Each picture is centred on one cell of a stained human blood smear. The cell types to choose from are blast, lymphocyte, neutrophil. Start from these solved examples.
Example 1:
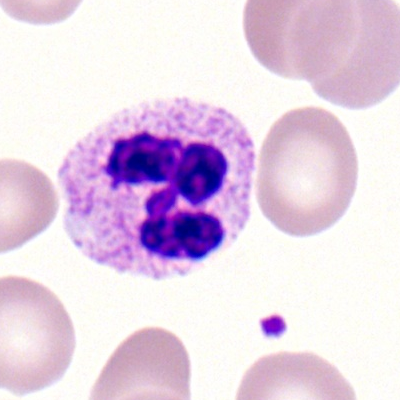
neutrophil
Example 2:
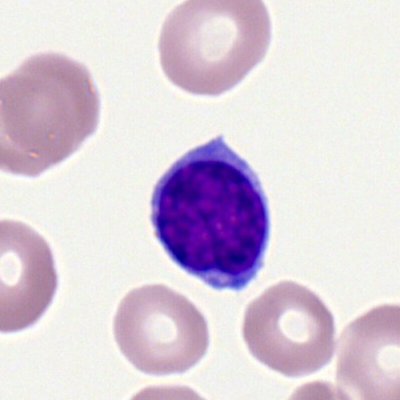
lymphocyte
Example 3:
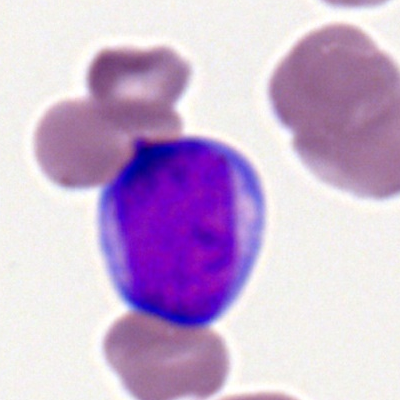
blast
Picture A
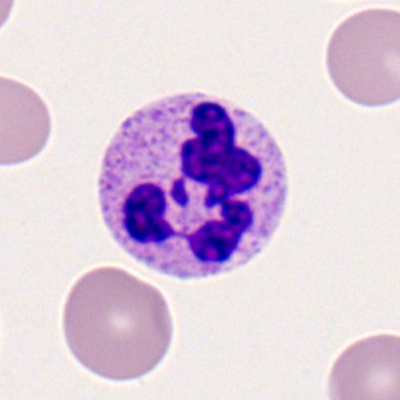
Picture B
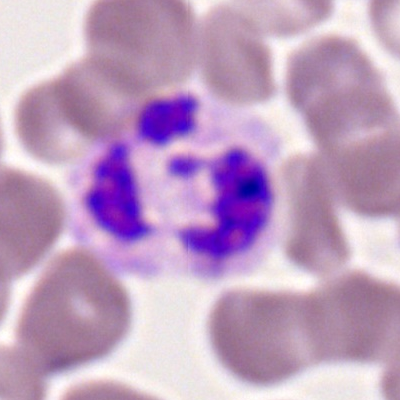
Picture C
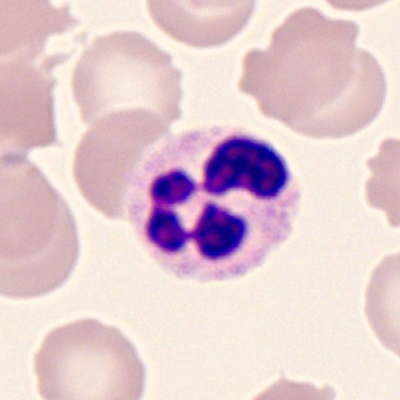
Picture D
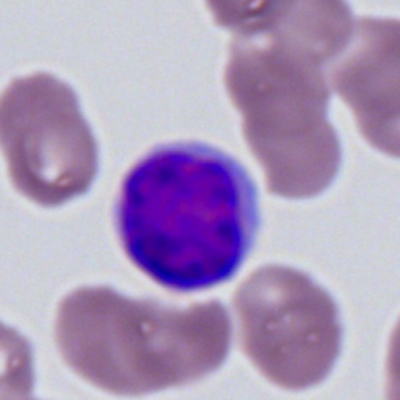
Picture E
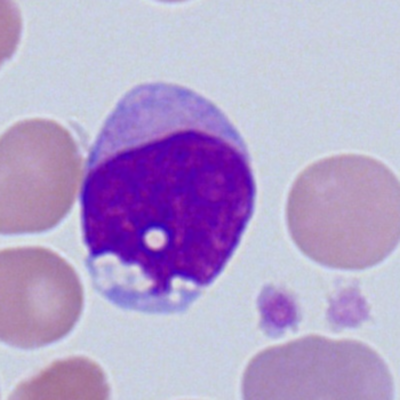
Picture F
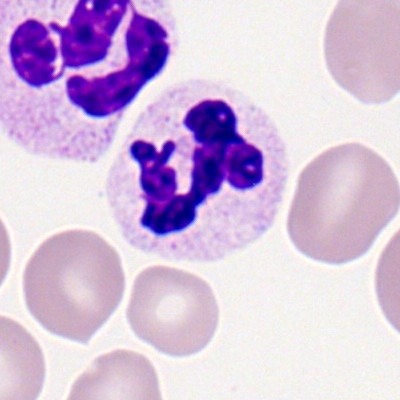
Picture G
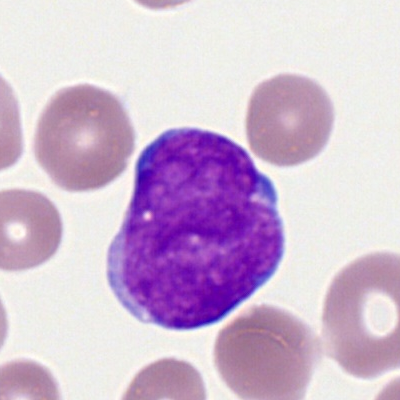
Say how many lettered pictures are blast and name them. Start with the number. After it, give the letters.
2: E, G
